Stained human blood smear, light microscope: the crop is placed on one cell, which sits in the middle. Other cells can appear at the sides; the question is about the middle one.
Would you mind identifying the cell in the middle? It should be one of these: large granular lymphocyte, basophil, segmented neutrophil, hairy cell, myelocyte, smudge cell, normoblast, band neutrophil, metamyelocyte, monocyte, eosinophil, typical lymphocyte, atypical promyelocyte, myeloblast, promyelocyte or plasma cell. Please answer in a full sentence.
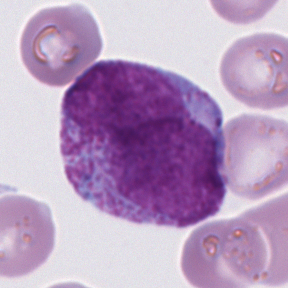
The cell of interest, in the center, is a promyelocyte.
